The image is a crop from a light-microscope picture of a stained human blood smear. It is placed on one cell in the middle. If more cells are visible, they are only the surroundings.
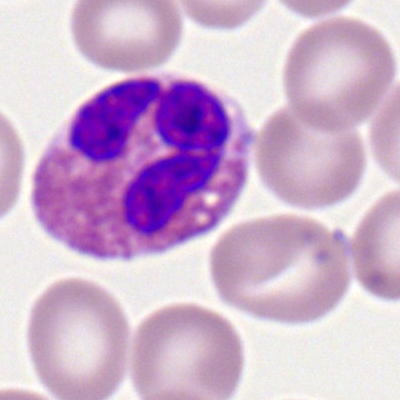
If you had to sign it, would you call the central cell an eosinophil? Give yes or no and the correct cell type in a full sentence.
Yes, the cell lying in the centre of the crop is identified as an eosinophil.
